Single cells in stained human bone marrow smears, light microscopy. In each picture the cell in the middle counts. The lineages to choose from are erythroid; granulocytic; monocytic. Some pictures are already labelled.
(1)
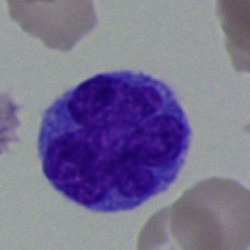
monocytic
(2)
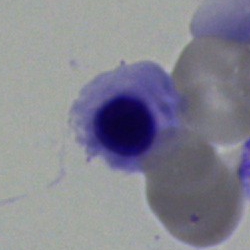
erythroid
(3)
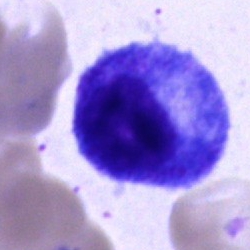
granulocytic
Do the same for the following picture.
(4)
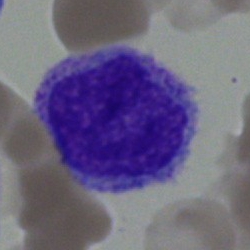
monocytic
